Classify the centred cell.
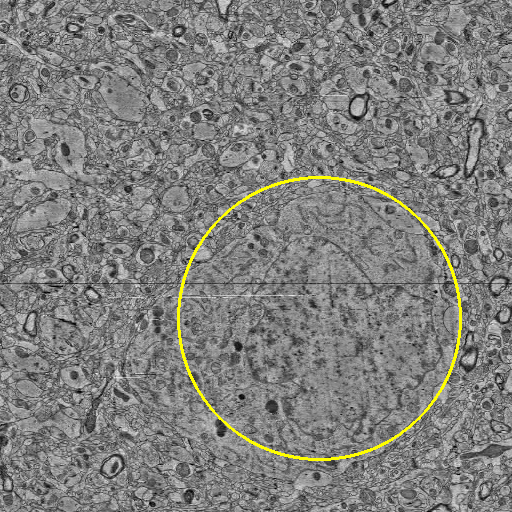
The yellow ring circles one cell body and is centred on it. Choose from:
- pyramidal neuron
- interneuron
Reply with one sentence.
The ring is centred on an interneuron.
